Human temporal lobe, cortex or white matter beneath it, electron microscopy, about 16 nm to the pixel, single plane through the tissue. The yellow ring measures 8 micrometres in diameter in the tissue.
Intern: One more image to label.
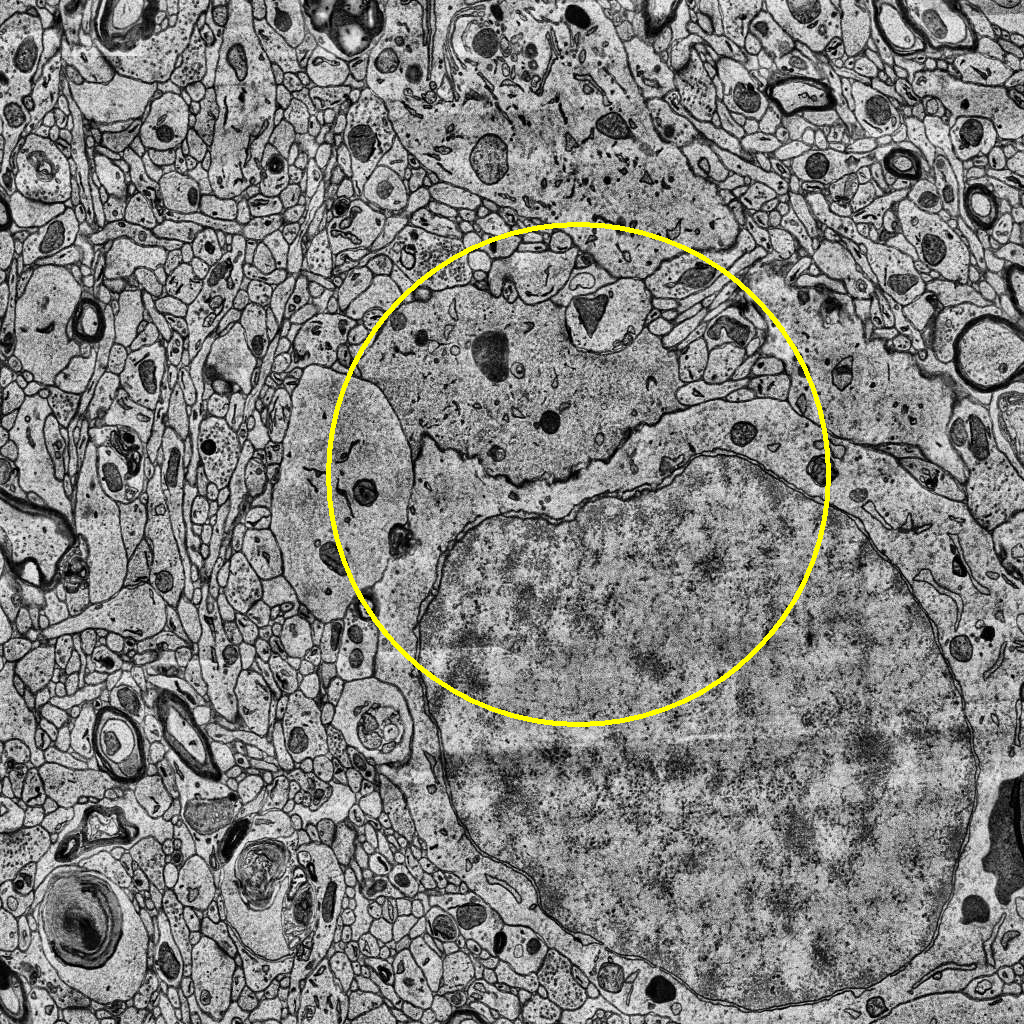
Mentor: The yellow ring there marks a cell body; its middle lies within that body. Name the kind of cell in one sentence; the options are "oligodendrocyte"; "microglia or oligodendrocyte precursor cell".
The ring marks the cell body of an oligodendrocyte.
